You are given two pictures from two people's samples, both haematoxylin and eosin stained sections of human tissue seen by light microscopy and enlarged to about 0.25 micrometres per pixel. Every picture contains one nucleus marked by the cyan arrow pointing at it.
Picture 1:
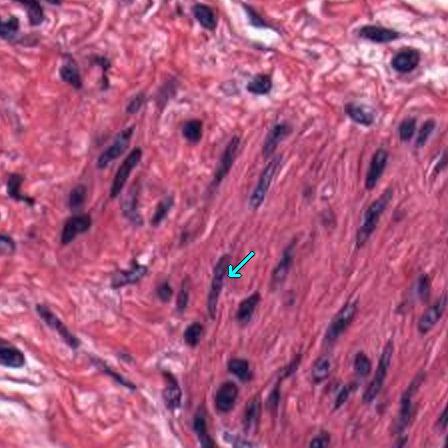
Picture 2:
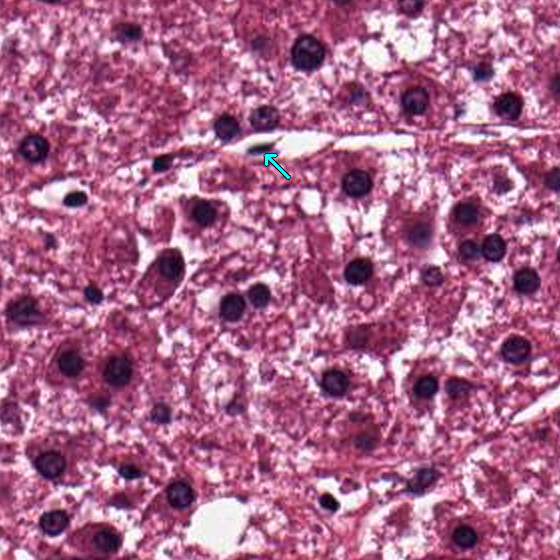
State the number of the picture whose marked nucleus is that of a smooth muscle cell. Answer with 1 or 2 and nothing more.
1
